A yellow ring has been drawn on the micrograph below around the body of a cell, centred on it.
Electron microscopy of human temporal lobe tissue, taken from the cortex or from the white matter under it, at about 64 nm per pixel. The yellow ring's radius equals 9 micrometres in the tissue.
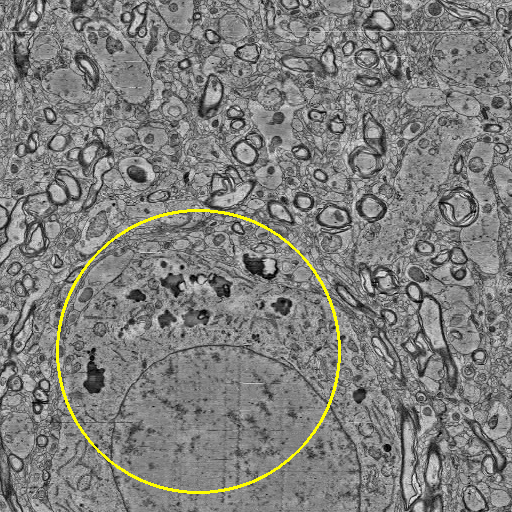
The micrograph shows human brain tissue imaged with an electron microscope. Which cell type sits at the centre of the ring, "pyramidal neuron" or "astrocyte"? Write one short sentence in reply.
The cell sitting at the centre of the ring is a pyramidal neuron.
